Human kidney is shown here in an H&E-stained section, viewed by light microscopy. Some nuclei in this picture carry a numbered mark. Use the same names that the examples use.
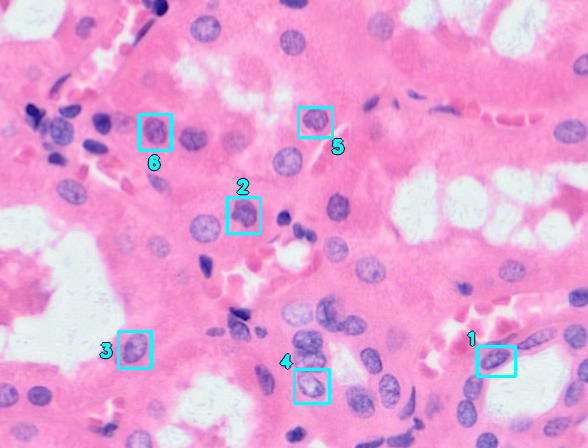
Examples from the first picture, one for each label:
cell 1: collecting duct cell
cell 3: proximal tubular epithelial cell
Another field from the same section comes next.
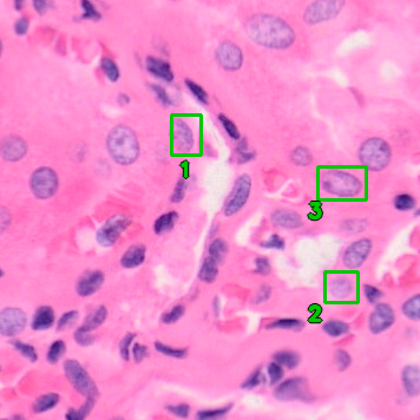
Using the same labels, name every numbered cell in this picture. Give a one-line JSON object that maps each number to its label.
{"1": "collecting duct cell", "2": "collecting duct cell", "3": "proximal tubular epithelial cell"}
